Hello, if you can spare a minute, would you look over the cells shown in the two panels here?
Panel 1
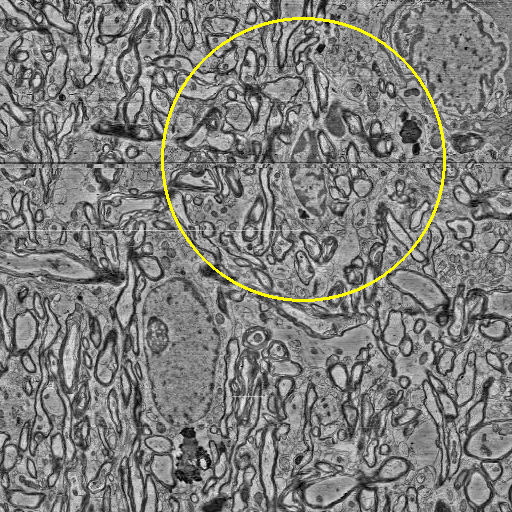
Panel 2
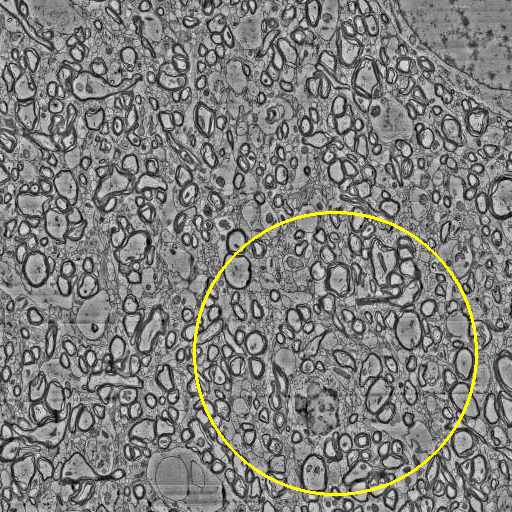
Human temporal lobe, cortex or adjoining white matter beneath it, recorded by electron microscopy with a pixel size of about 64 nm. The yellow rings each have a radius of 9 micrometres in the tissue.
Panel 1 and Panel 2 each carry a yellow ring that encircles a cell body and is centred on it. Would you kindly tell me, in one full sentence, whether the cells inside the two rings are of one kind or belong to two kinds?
The cells at the centres of the rings in Panel 1 and Panel 2 are of one kind.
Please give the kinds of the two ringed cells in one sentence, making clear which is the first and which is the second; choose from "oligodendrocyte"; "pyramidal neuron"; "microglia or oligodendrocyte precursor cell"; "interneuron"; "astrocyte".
Each of the two pictures has a microglial cell or oligodendrocyte precursor cell at the ring centre.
